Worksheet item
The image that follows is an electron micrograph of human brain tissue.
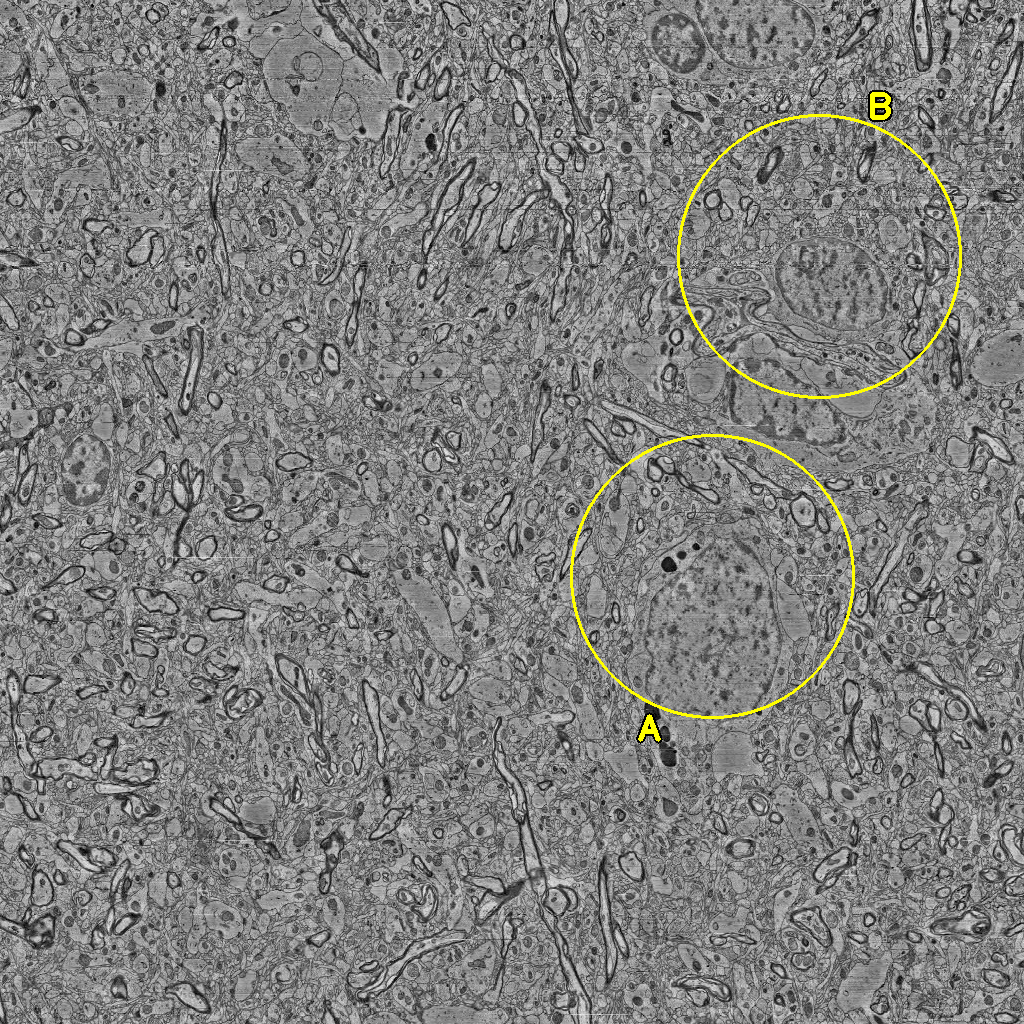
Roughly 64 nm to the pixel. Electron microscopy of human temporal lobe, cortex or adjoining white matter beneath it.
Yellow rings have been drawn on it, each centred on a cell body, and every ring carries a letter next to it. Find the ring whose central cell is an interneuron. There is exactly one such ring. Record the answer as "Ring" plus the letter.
Ring A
